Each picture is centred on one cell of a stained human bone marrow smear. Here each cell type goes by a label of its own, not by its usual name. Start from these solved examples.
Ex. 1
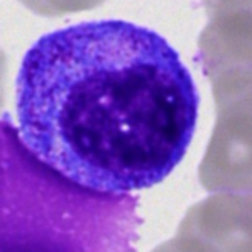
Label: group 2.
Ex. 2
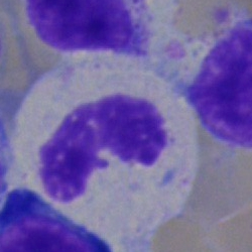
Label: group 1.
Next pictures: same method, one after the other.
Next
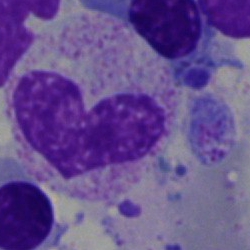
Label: group 1.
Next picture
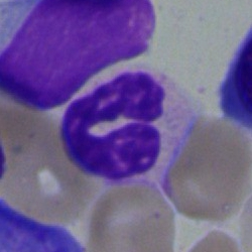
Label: group 1.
